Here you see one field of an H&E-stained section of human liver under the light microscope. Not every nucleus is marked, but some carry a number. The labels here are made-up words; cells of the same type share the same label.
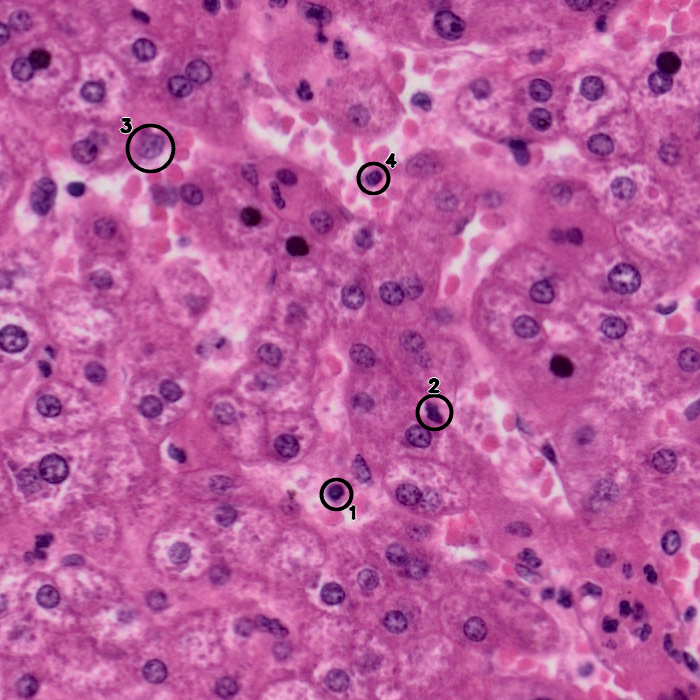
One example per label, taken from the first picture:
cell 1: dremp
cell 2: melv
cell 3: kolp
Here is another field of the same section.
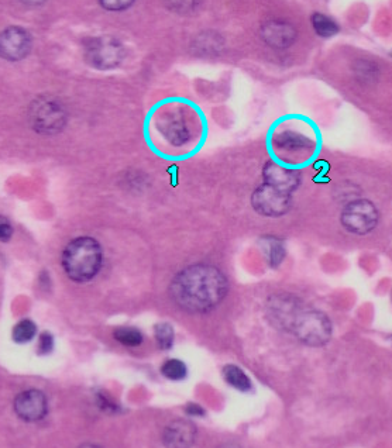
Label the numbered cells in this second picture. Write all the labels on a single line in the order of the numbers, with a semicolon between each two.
kolp; melv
